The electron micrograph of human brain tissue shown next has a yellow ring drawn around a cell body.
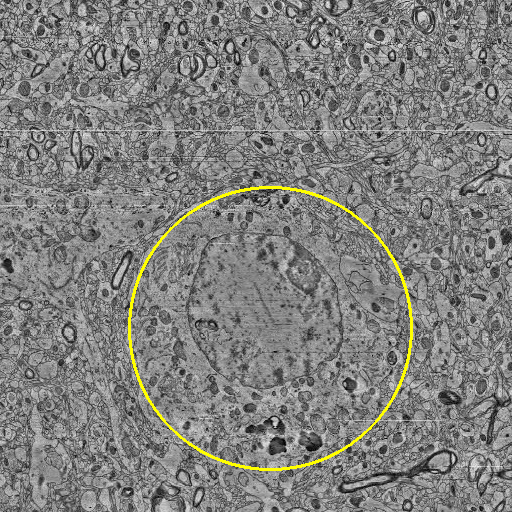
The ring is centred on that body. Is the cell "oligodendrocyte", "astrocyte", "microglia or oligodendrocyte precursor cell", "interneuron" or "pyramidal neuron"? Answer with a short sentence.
The cell in question is an interneuron.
